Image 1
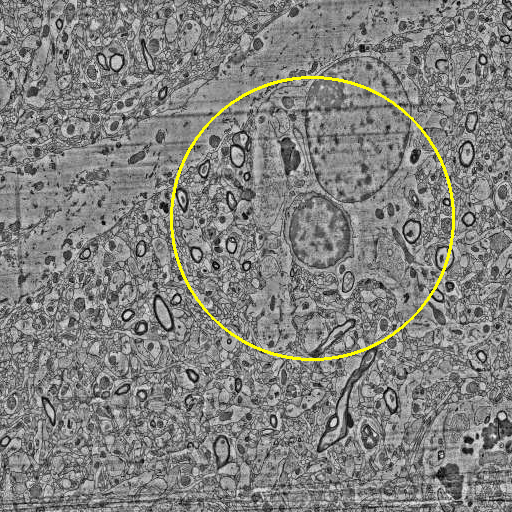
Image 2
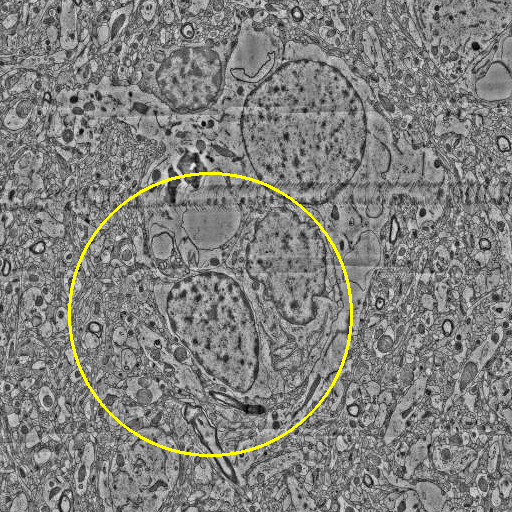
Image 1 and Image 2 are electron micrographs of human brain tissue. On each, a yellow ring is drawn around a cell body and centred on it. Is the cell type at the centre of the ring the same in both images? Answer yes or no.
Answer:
no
